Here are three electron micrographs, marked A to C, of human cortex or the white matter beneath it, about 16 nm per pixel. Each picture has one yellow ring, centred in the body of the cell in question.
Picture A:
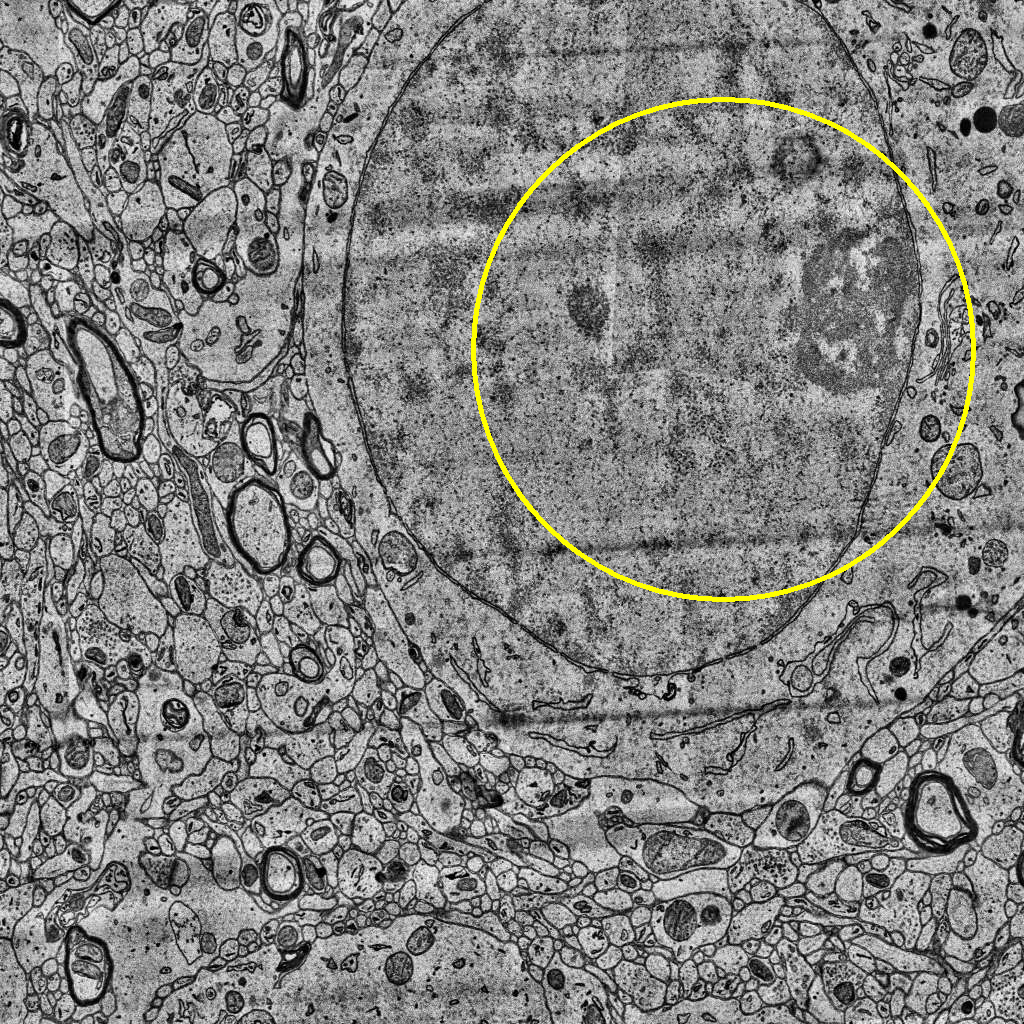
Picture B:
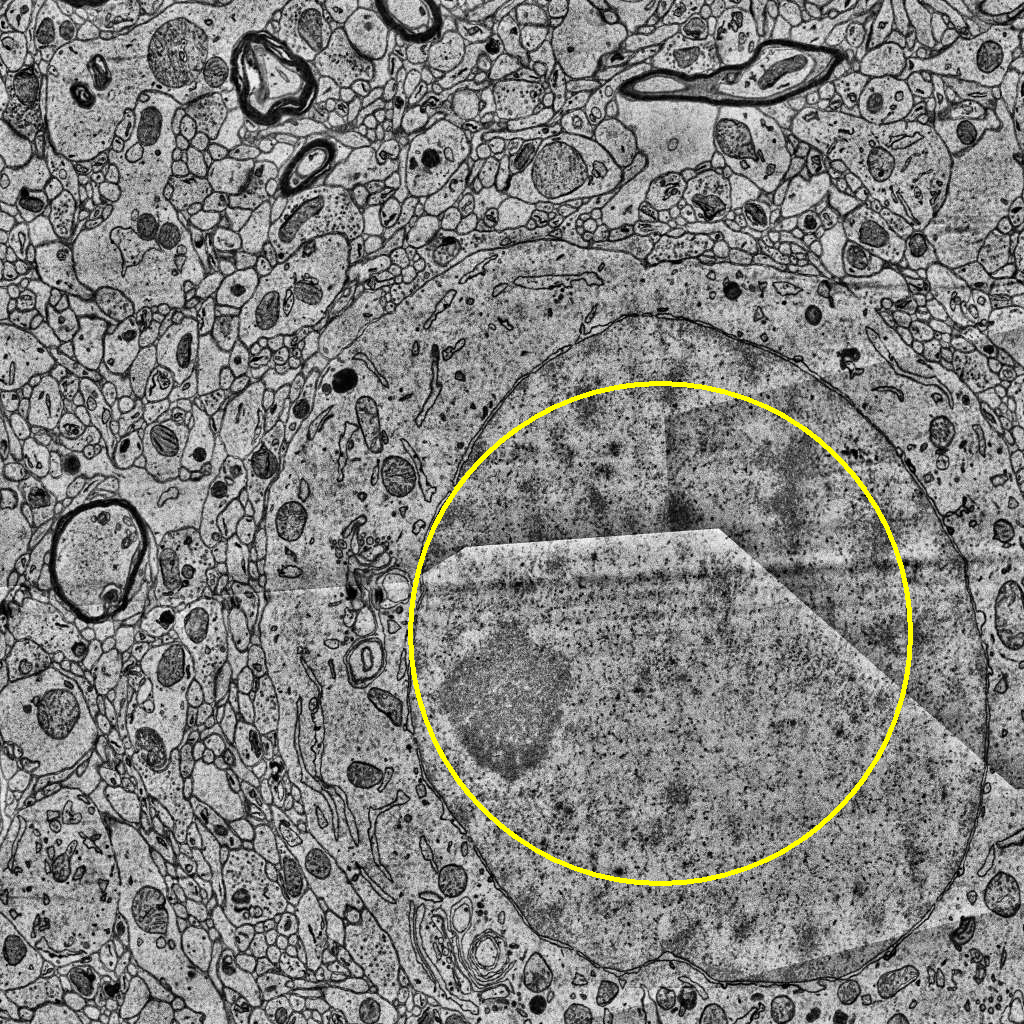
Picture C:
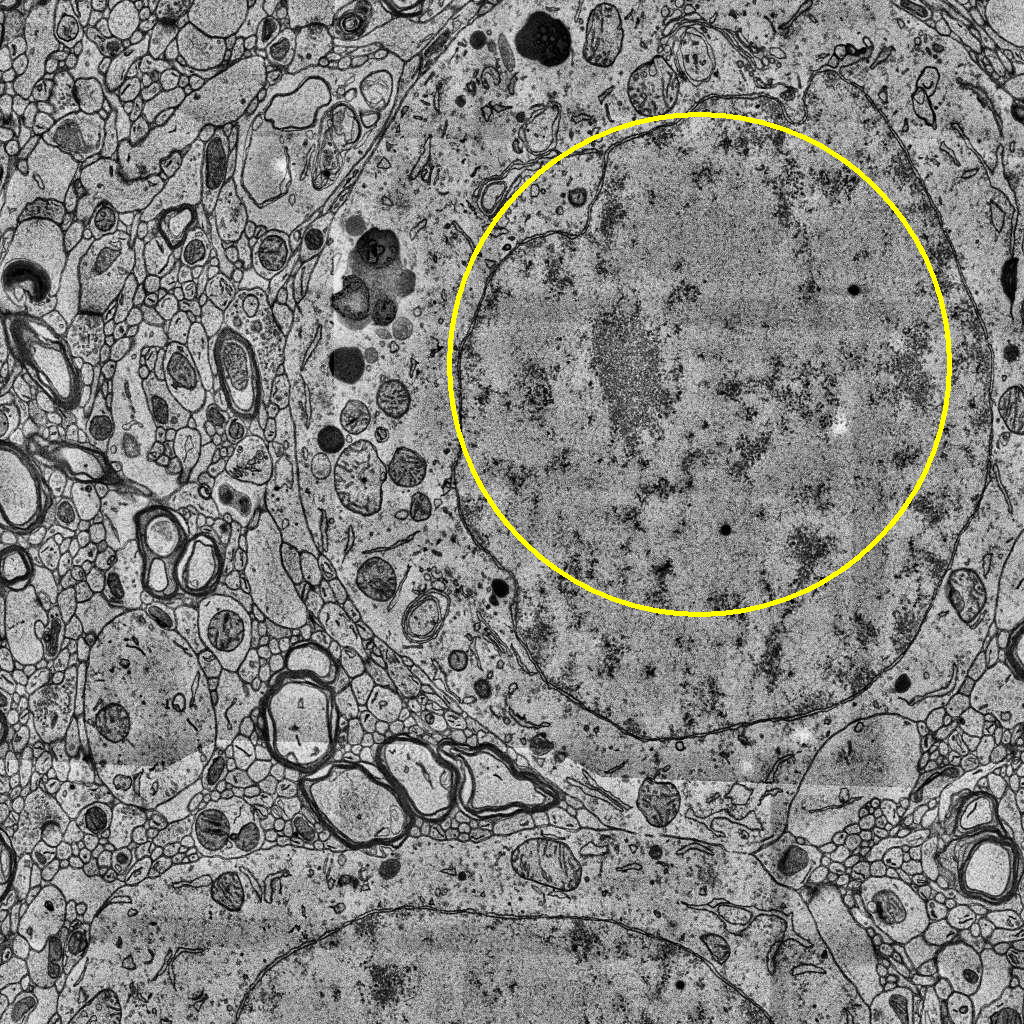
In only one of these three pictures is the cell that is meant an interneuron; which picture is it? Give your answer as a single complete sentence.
The interneuron is the one in picture B.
